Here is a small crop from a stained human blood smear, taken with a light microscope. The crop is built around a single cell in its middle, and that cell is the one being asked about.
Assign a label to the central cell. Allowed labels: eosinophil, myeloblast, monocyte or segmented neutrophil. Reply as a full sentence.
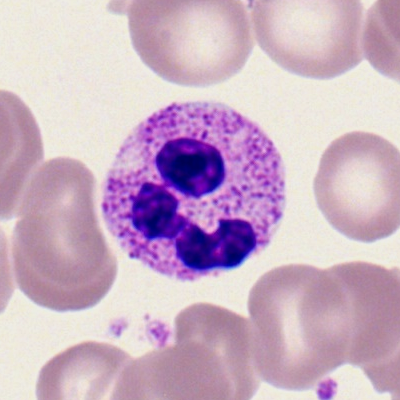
At the center of the crop sits a segmented neutrophil.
